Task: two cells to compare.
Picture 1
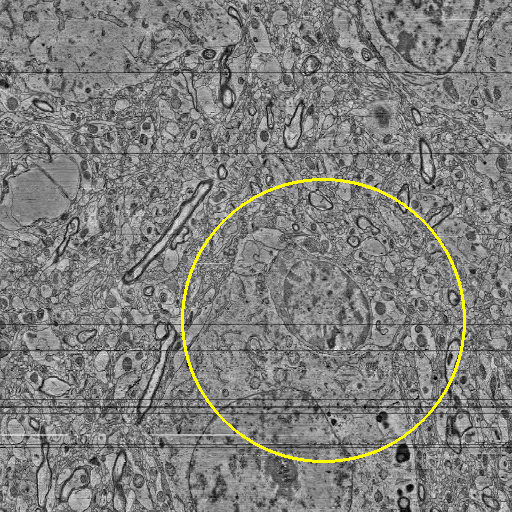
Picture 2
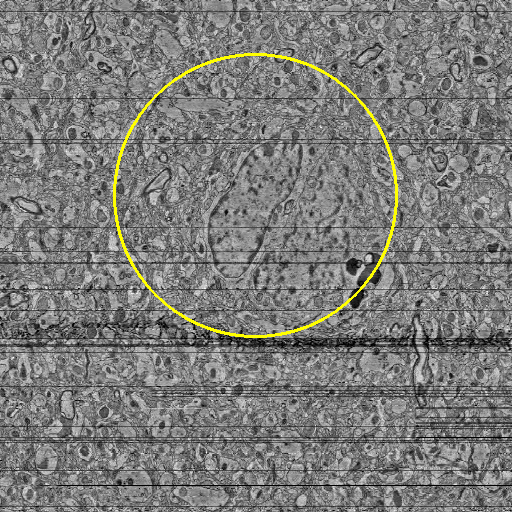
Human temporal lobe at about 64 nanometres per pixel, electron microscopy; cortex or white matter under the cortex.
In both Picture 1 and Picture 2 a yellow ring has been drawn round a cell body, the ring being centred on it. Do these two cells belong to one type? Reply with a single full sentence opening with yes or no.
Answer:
No, the two cells at the ring centres in Picture 1 and Picture 2 are of two types.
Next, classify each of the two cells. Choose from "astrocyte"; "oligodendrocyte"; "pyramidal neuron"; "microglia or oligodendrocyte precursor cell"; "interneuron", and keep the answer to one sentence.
In the first picture it is an oligodendrocyte; in the second it is a microglial cell or oligodendrocyte precursor cell.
